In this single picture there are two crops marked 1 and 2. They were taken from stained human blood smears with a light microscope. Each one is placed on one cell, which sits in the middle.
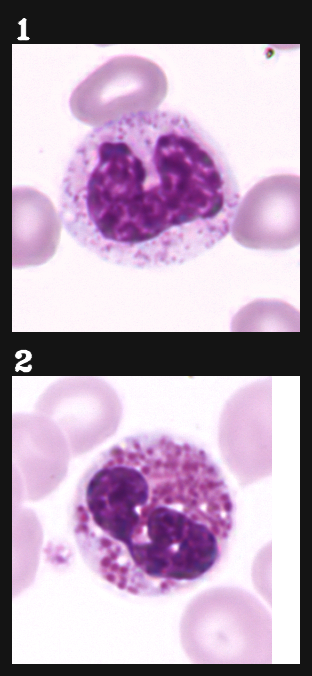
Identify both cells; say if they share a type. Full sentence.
No, crop 1 is where a band neutrophil is shown, and crop 2 is where an eosinophil is shown.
